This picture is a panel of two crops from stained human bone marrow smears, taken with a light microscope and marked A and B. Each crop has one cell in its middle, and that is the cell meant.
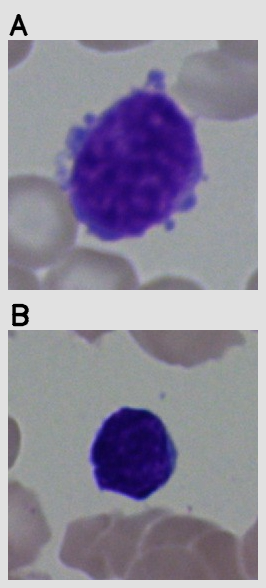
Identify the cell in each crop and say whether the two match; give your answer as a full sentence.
No, crop A is to be identified as a blast and crop B as a lymphocyte.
